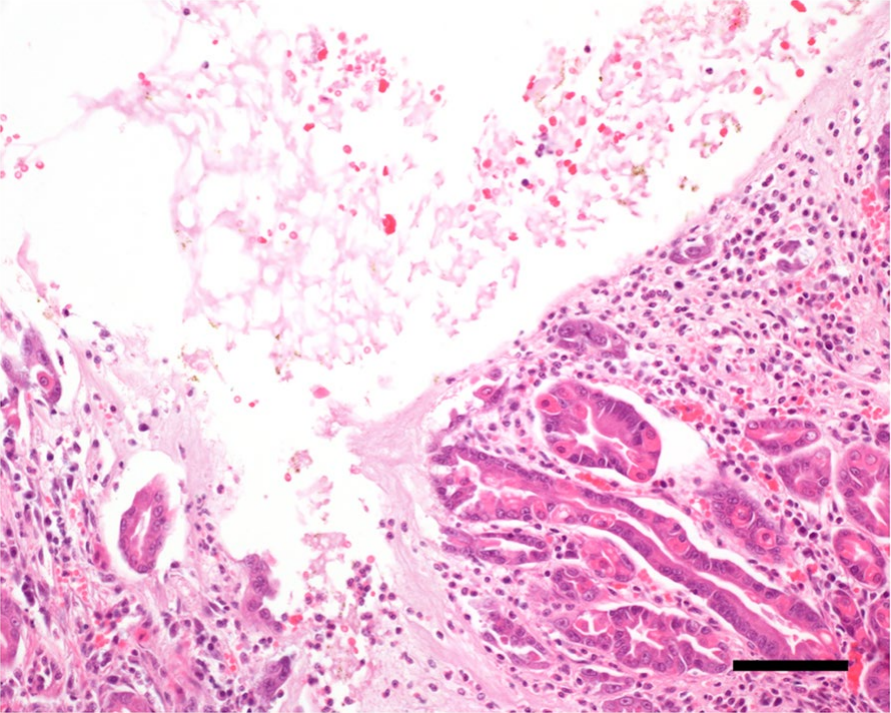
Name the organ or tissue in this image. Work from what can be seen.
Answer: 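Glands are lined by cells with abundant bright pink cytoplasm and round central nuclei. The glands lie in a cellular stroma. On this evidence: gastric mucosa.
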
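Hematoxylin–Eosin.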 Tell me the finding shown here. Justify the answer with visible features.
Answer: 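The surface facing the lumen lacks an epithelial lining. Pale pink fibrinous material lies over the bare surface.
Hence: ulceration.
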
